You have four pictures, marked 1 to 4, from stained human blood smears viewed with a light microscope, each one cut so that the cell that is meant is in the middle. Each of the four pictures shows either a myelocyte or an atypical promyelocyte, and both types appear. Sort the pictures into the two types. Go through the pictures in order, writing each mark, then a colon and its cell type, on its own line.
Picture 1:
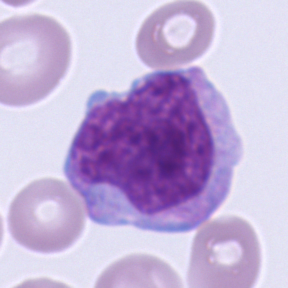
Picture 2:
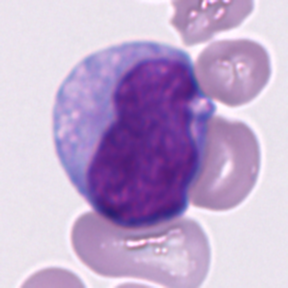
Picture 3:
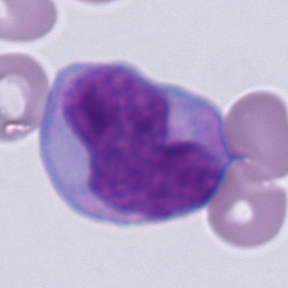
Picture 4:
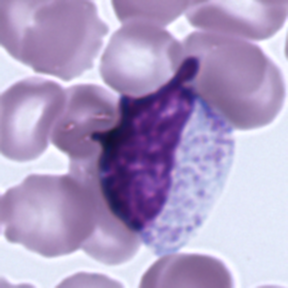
1: atypical promyelocyte
2: atypical promyelocyte
3: atypical promyelocyte
4: myelocyte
